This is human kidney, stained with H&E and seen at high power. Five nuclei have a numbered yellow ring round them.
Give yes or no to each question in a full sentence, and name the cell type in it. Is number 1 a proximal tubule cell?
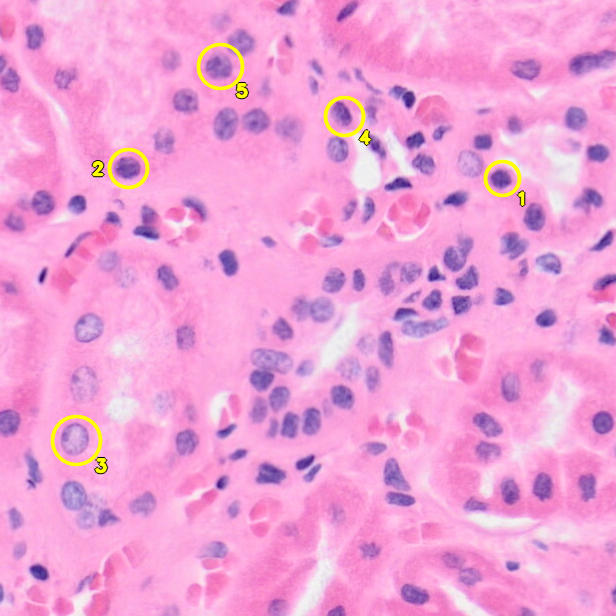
No, what number 1 shows is a loop of Henle or distal tubule cell, not a proximal tubule cell.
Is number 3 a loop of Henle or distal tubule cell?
No, as for cell 3, it is a proximal tubule cell and not a loop of Henle or distal tubule cell.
